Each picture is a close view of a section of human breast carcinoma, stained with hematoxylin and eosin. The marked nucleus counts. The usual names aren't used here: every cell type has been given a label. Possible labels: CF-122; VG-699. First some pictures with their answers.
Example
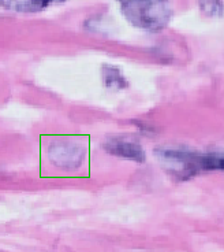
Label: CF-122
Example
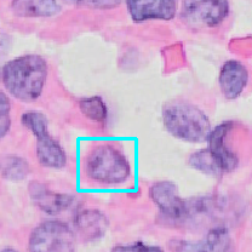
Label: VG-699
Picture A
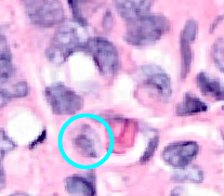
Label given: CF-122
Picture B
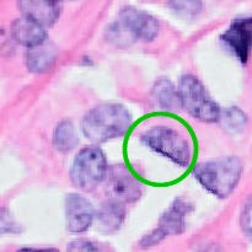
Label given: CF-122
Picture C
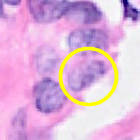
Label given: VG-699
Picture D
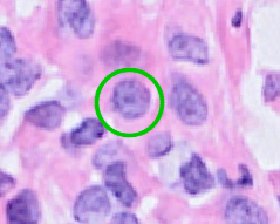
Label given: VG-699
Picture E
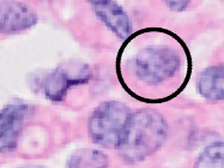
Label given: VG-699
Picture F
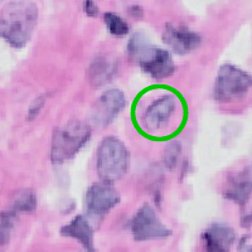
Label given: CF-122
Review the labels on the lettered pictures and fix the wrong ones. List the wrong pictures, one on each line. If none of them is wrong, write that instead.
Wrong: B (CF-122); correct: VG-699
